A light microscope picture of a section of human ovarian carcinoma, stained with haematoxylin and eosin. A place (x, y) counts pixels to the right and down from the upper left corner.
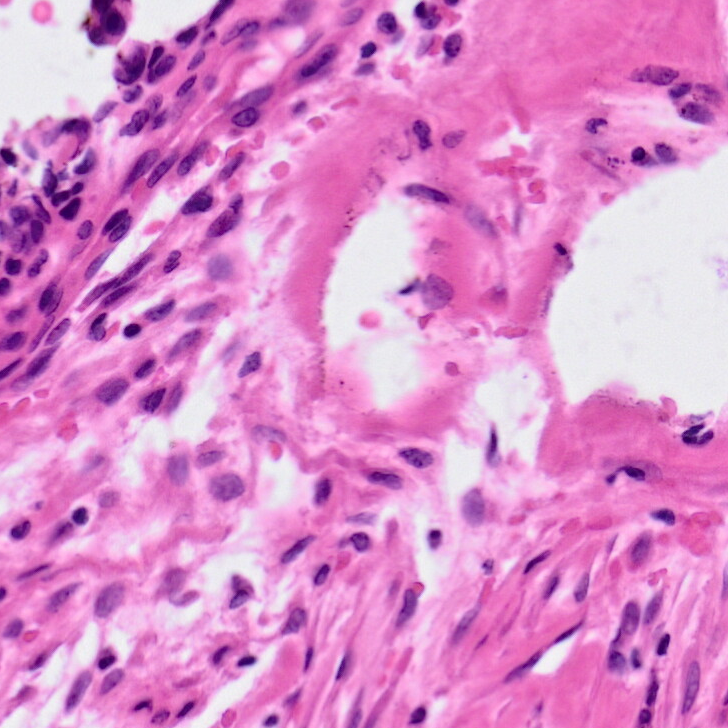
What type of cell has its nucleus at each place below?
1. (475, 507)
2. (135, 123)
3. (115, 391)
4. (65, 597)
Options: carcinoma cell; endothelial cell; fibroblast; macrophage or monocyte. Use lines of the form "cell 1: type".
cell 1: fibroblast
cell 2: macrophage or monocyte
cell 3: fibroblast
cell 4: fibroblast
